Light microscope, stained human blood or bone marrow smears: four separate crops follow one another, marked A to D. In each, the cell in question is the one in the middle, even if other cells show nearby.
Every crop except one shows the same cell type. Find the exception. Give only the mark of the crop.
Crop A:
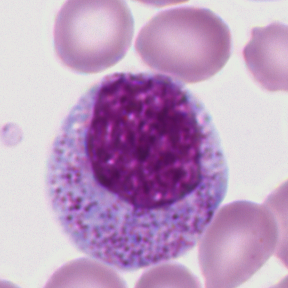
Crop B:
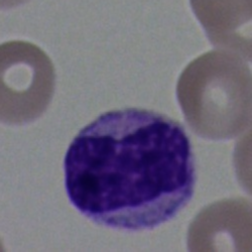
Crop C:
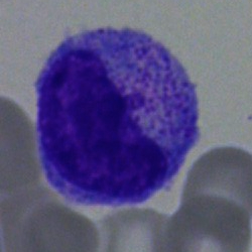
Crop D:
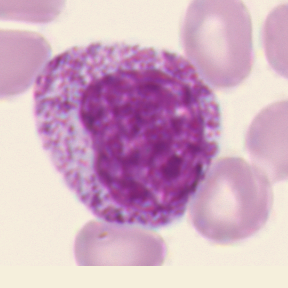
B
